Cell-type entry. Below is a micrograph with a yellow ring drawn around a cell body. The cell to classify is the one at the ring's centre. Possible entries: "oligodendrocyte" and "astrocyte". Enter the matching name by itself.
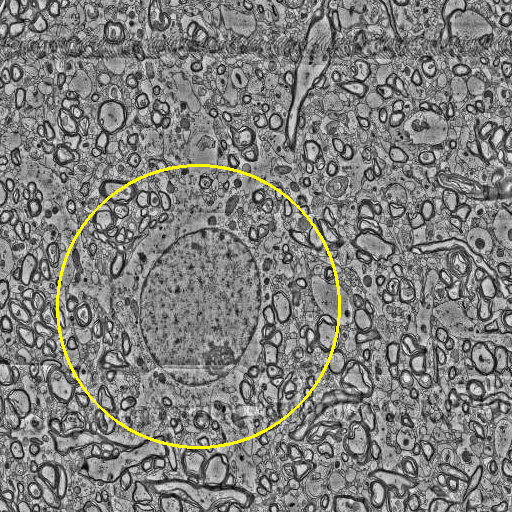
astrocyte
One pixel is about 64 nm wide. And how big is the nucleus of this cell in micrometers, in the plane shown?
In this plane, the nucleus is roughly 10 by 8 micrometres.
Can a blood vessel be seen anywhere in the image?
No.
